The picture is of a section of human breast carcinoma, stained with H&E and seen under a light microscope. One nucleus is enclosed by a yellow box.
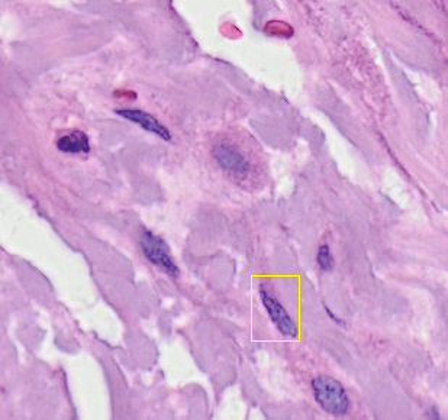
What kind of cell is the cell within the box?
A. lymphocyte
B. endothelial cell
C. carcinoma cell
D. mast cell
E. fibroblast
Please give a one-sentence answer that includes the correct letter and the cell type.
As the cell within the box is a fibroblast, the correct choice is option E.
